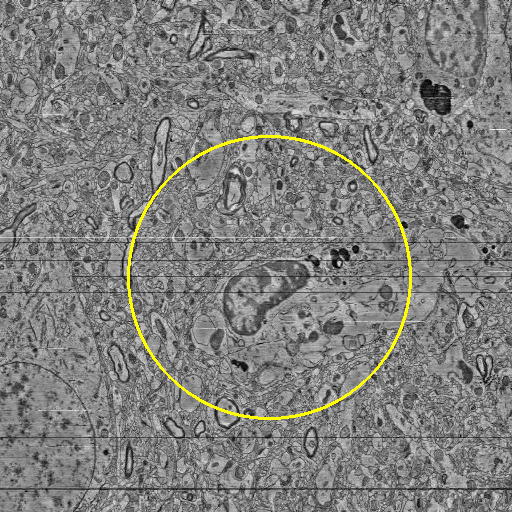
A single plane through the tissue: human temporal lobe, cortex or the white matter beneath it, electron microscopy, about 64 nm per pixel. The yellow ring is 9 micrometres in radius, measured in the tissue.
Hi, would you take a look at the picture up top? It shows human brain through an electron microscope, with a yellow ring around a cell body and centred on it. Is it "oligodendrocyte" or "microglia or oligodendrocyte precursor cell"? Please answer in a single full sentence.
The best fit for the cell in the middle of the ring is a microglial cell or oligodendrocyte precursor cell, I reckon.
